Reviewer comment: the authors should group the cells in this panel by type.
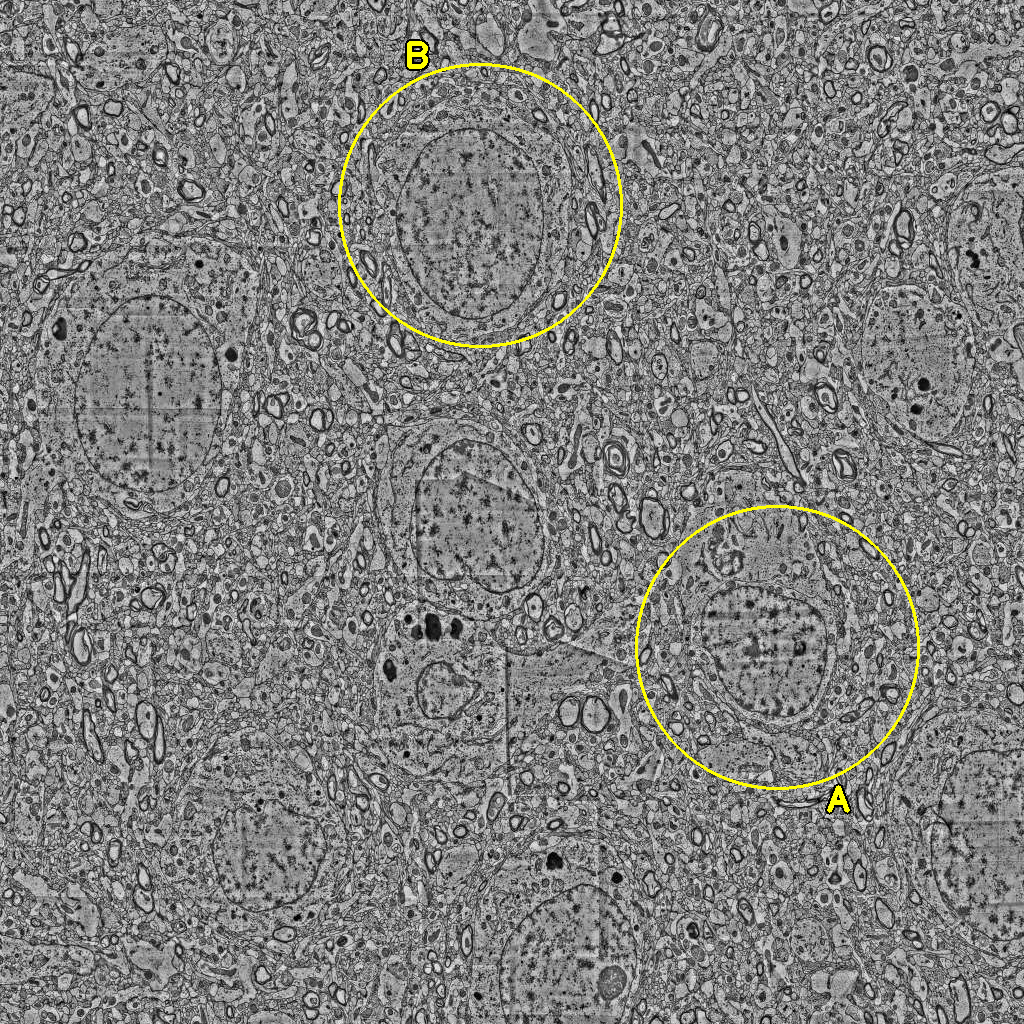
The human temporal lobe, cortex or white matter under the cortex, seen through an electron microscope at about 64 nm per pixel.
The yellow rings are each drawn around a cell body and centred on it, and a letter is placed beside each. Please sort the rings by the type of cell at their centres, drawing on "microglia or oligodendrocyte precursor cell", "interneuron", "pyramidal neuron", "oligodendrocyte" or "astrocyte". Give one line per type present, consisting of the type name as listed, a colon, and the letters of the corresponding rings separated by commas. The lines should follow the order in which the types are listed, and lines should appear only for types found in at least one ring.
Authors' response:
interneuron: A
pyramidal neuron: B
